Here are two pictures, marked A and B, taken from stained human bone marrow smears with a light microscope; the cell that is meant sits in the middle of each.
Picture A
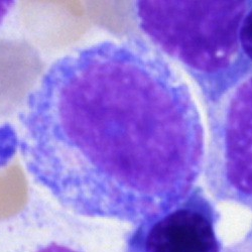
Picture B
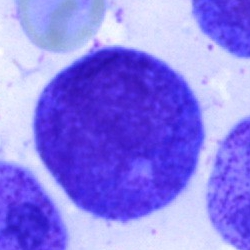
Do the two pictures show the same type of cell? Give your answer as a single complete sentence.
Yes, the two pictures both show promyelocytes.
